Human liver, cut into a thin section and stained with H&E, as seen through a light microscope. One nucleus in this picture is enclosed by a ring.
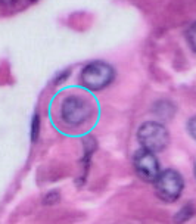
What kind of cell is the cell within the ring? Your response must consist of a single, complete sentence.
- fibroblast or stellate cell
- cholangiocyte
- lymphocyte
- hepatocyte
By its classification, the cell within the ring is a cholangiocyte.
